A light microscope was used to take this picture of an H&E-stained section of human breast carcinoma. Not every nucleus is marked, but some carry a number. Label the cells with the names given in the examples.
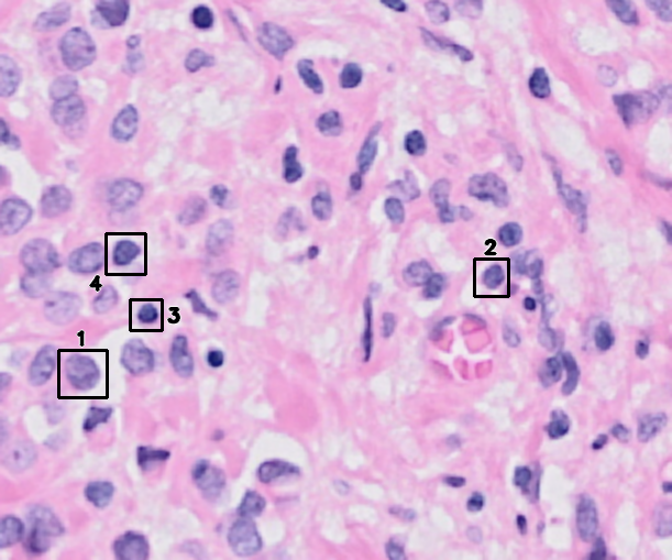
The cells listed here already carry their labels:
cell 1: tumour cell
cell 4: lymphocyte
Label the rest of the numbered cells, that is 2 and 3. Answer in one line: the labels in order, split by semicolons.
lymphocyte; lymphocyte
